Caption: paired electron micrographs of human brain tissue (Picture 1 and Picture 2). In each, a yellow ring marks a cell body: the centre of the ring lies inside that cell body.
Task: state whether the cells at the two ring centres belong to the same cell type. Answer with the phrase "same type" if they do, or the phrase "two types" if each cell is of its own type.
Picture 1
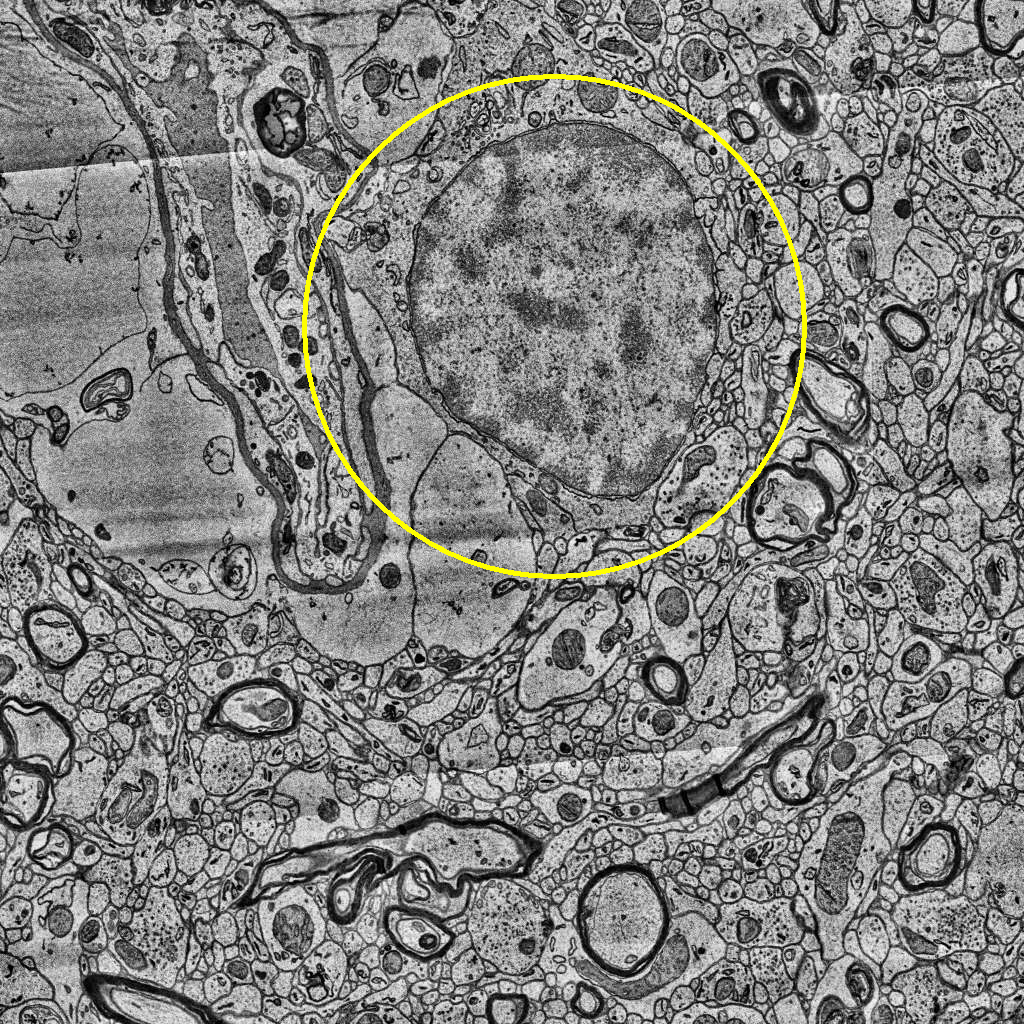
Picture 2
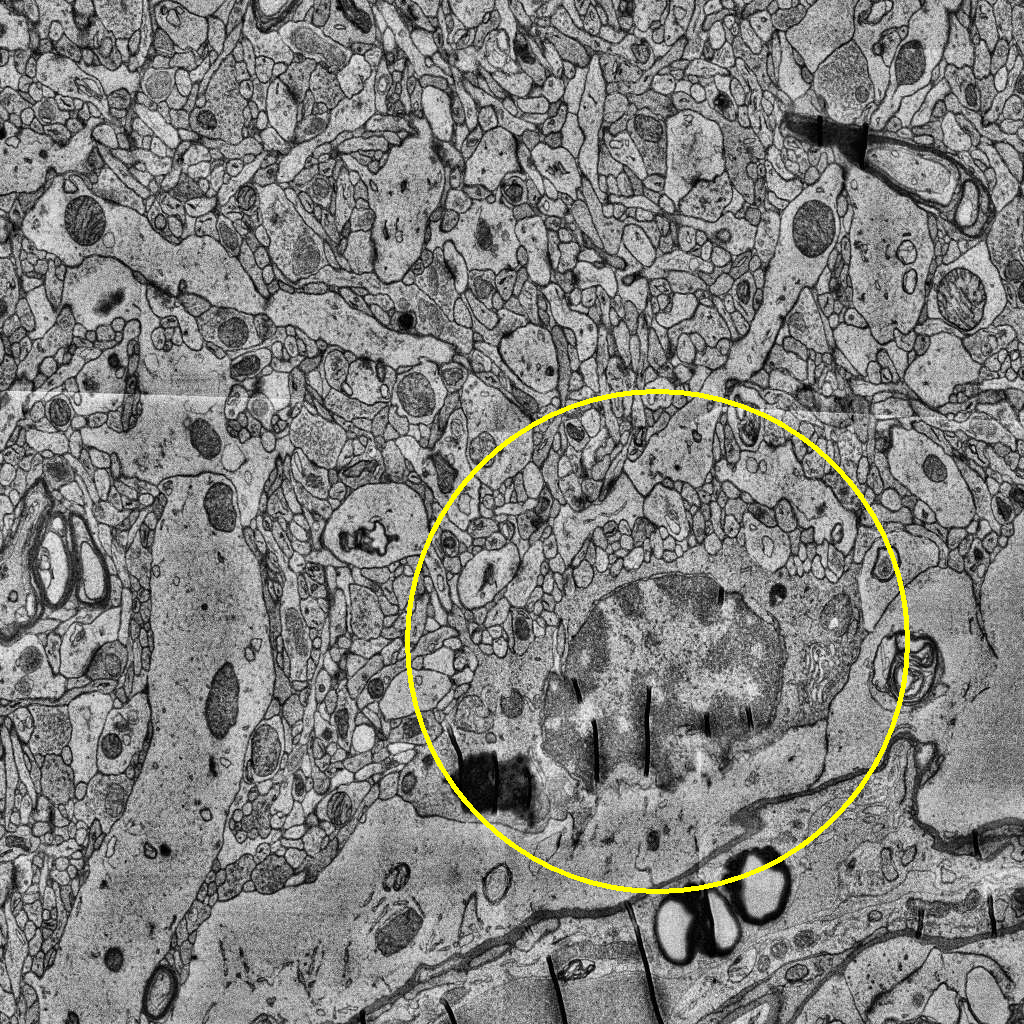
same type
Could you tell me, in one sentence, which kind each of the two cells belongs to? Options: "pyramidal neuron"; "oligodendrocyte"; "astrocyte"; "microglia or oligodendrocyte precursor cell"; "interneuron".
The second cell is an oligodendrocyte, just as the first is.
